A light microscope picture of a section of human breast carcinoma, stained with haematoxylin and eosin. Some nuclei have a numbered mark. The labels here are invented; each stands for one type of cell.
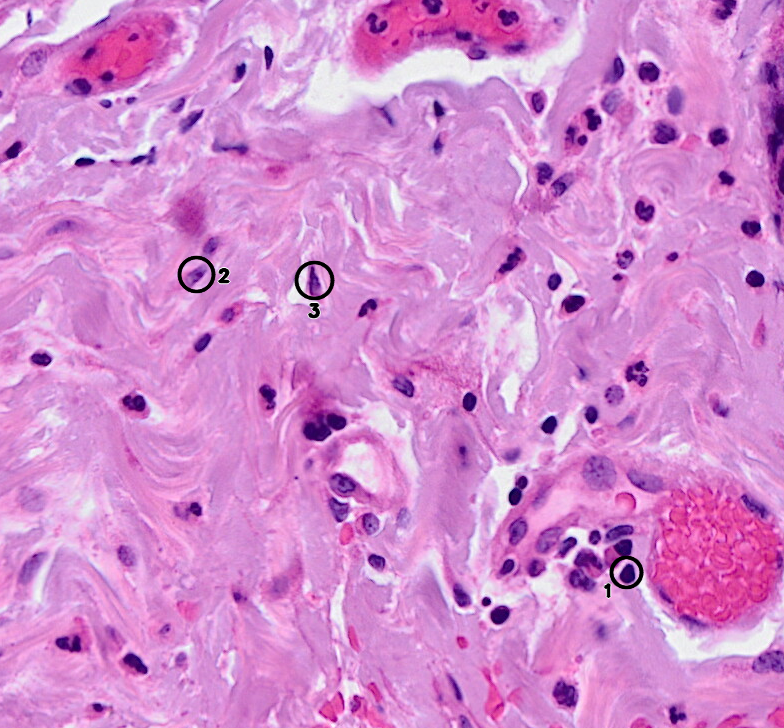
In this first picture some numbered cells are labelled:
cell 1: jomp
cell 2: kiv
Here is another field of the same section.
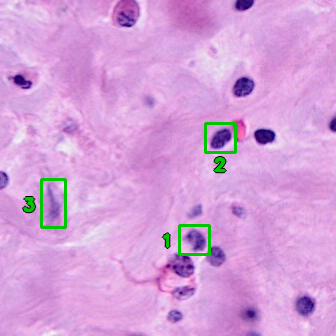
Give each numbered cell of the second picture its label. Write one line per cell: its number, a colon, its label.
1: jomp
2: jomp
3: kiv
